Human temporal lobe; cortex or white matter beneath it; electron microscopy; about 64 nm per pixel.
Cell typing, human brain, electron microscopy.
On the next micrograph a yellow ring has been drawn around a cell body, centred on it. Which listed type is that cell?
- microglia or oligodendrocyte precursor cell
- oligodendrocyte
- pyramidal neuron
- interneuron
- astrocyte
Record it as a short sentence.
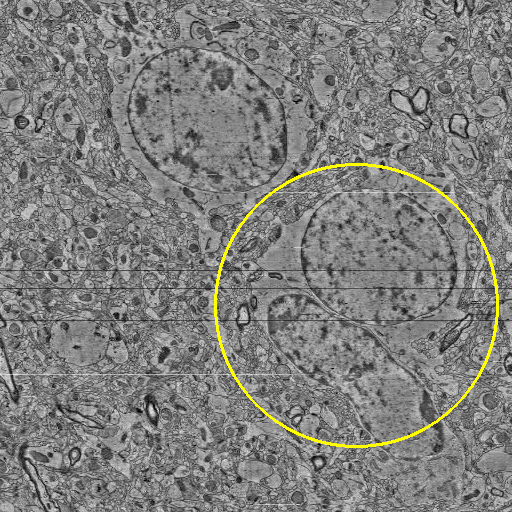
The cell body in the ring's centre belongs to an astrocyte.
